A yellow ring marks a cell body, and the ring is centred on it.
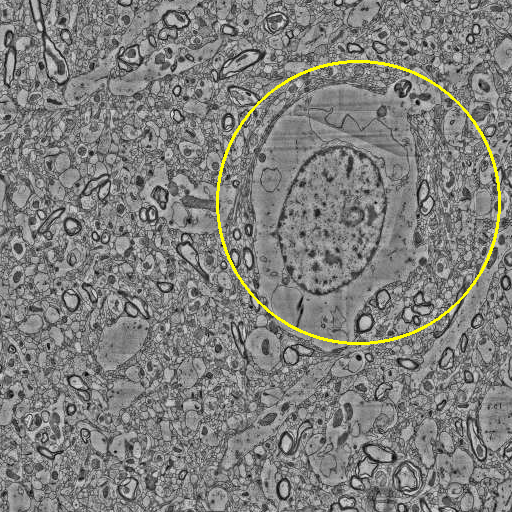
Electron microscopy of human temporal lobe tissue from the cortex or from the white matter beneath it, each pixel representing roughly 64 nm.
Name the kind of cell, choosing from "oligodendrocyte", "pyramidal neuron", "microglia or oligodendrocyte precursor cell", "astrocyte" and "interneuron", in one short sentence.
The marked cell body belongs to an astrocyte.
